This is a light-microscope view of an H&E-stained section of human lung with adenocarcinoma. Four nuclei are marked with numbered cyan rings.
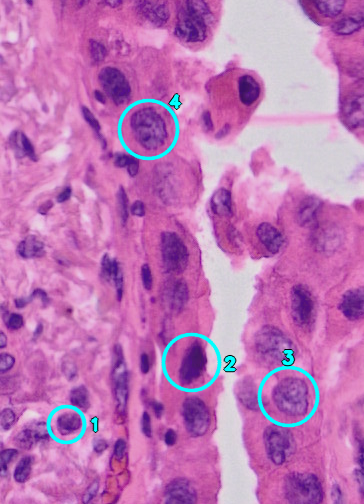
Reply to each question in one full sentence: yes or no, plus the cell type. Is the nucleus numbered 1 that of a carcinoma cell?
No, the nucleus numbered 1 belongs to a lymphocyte, not a carcinoma cell.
